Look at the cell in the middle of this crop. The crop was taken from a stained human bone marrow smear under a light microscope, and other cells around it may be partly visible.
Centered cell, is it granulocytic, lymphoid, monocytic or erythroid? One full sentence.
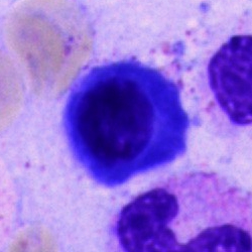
The cell at the crop's center is part of the lymphoid lineage.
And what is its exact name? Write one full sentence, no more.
The cell featured at the centre of this crop is a plasma cell.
